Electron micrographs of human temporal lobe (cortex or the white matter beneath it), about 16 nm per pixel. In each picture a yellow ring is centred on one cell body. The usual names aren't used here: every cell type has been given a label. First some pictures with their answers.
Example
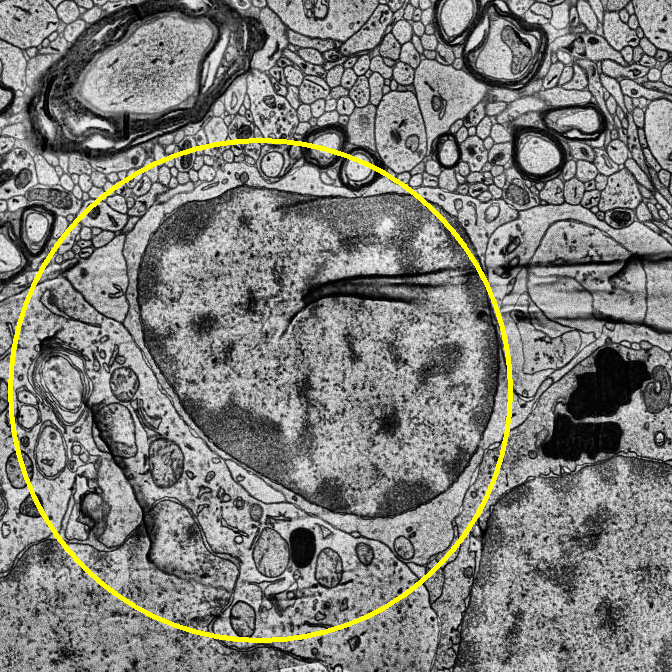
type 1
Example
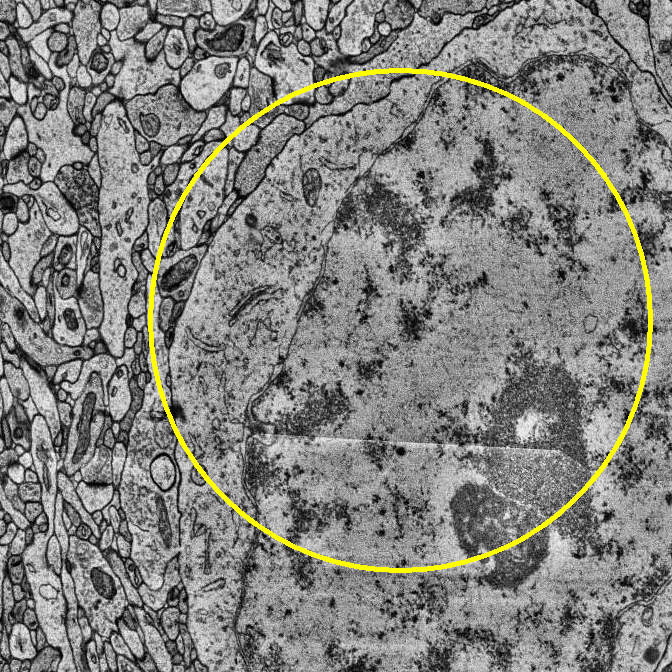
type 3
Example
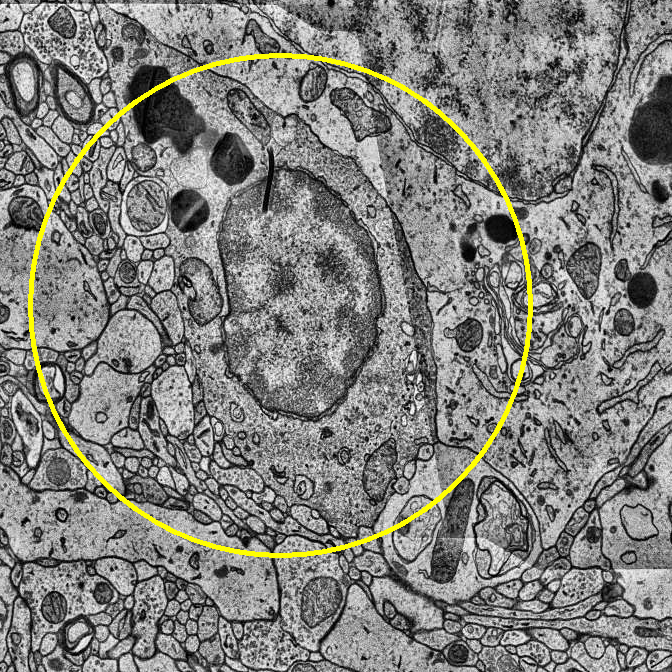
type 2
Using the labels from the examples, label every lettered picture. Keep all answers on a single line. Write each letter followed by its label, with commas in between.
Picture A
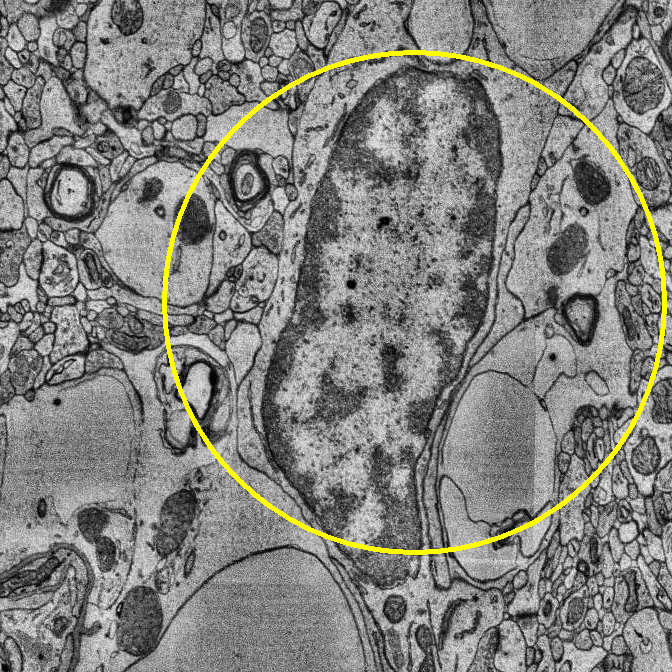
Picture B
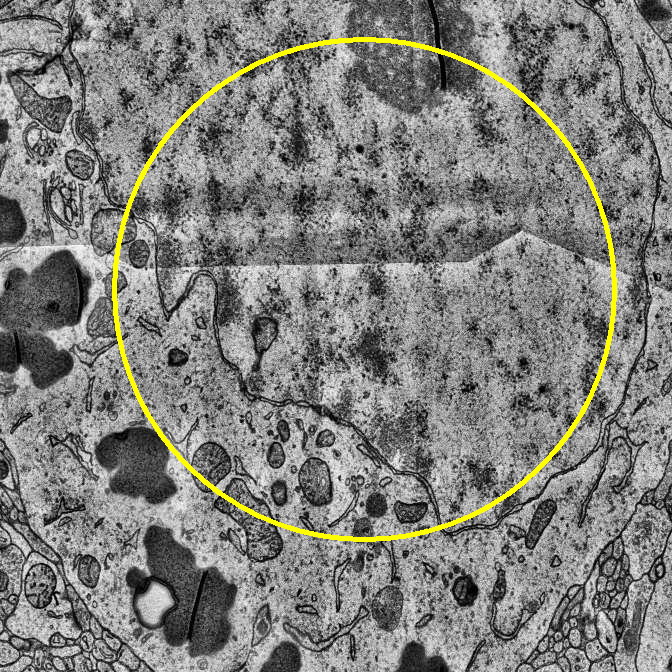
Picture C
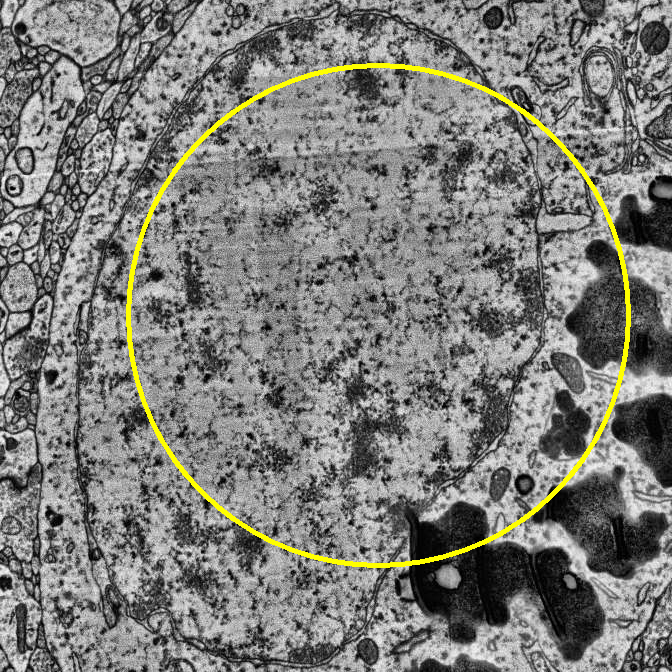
A type 1, B type 3, C type 3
